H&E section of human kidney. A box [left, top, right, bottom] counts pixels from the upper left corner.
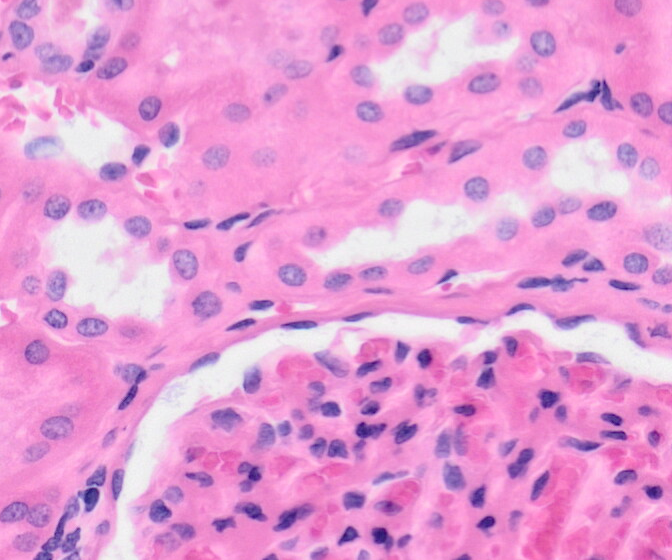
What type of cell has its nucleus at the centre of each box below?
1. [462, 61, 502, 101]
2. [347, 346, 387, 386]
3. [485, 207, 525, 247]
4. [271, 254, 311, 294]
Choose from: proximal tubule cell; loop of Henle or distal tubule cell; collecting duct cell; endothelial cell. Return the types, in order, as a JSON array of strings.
["loop of Henle or distal tubule cell", "endothelial cell", "loop of Henle or distal tubule cell", "loop of Henle or distal tubule cell"]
